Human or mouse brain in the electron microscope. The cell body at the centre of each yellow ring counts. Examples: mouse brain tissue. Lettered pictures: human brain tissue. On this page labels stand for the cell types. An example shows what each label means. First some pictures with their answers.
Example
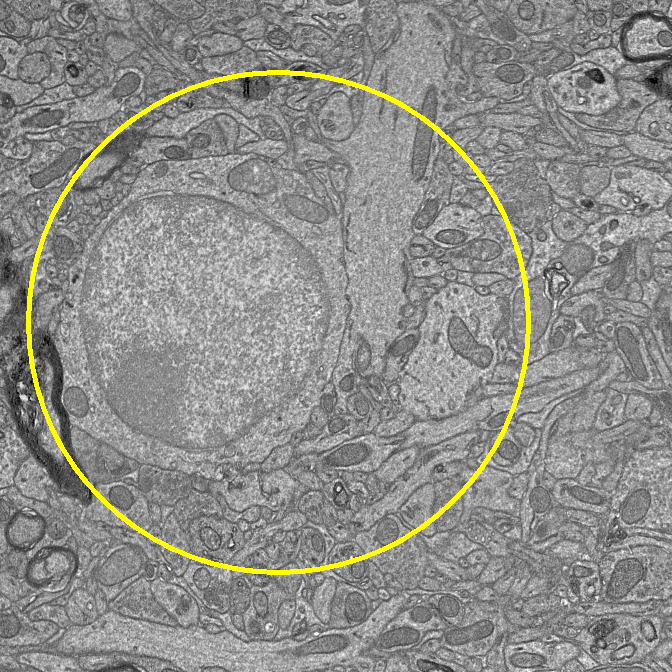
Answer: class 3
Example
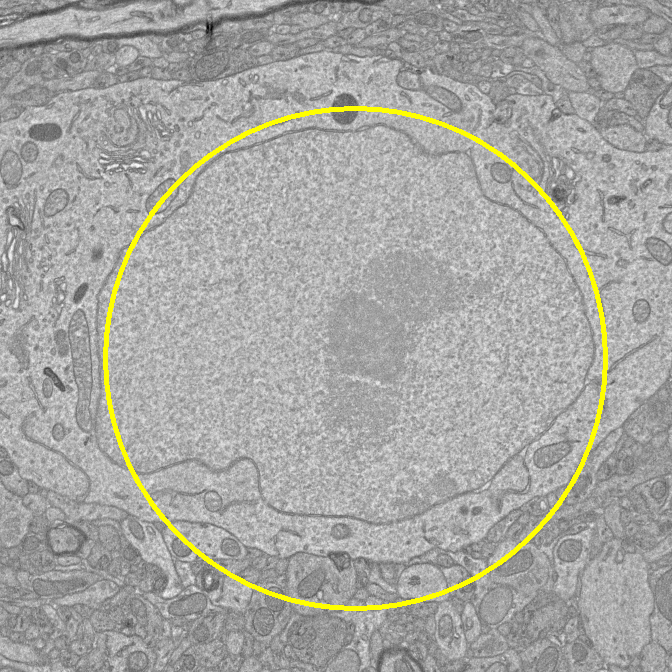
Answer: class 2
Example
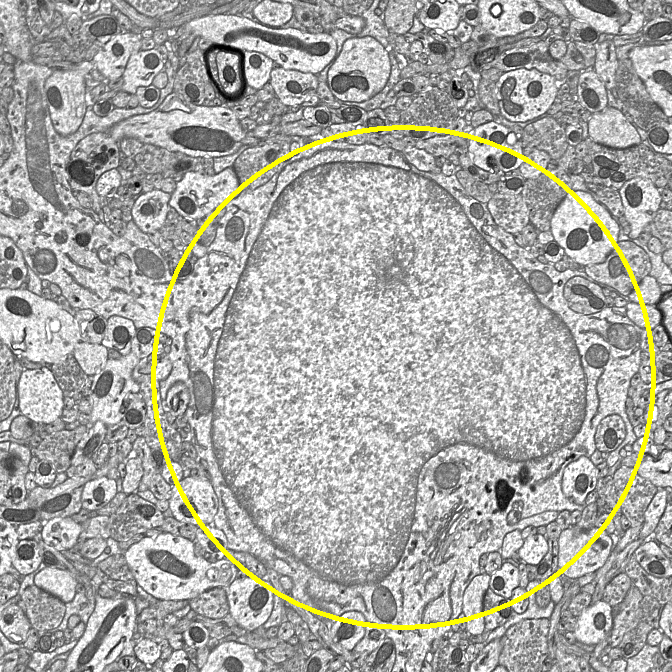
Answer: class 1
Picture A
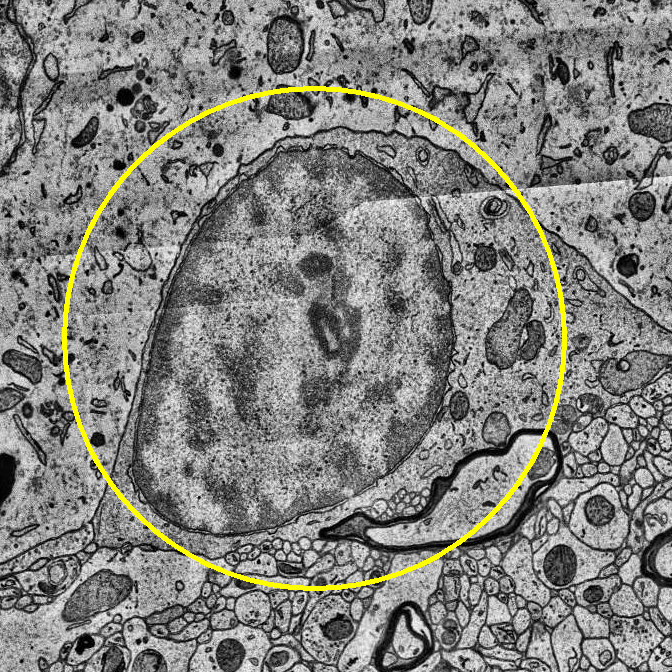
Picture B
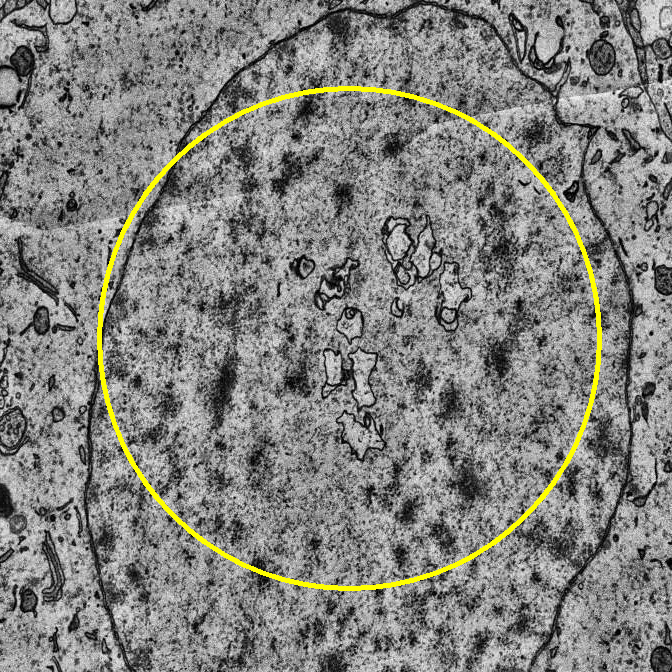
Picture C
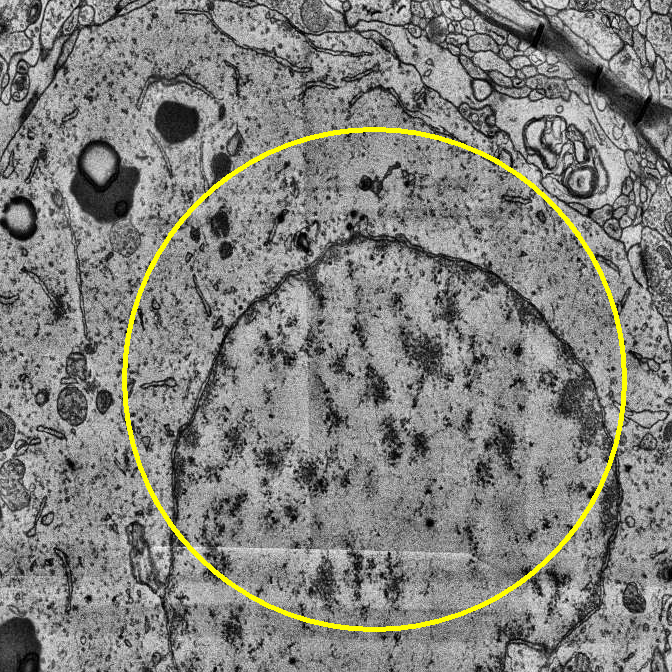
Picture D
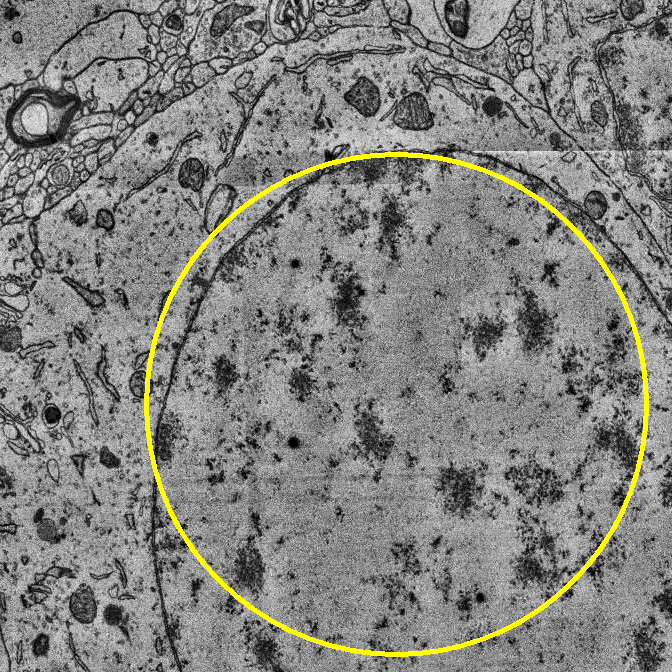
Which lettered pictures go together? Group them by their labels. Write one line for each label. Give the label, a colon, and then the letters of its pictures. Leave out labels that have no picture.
class 3: A
class 2: B, C, D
